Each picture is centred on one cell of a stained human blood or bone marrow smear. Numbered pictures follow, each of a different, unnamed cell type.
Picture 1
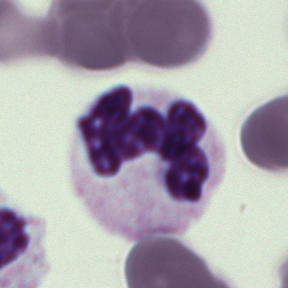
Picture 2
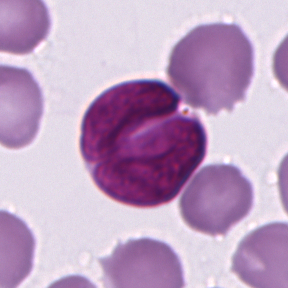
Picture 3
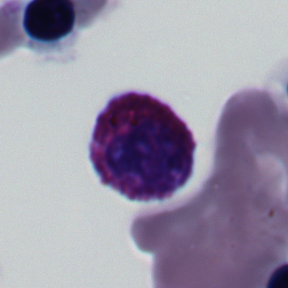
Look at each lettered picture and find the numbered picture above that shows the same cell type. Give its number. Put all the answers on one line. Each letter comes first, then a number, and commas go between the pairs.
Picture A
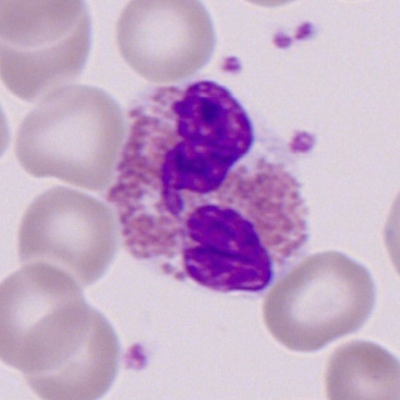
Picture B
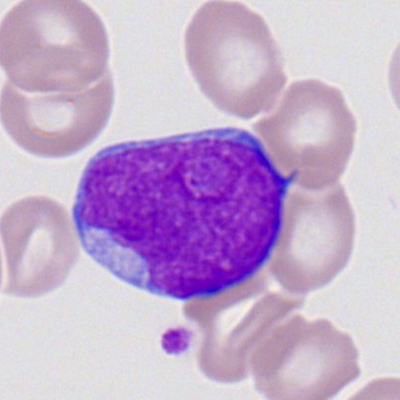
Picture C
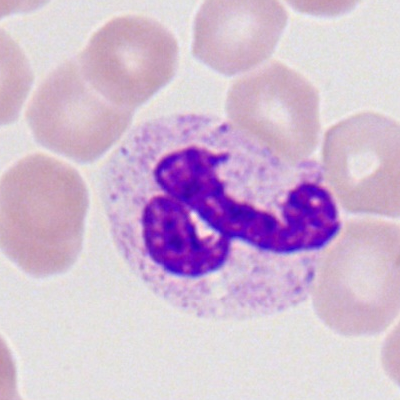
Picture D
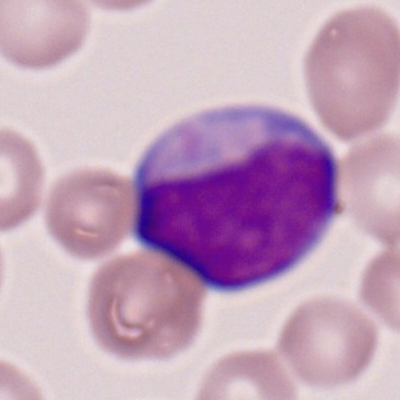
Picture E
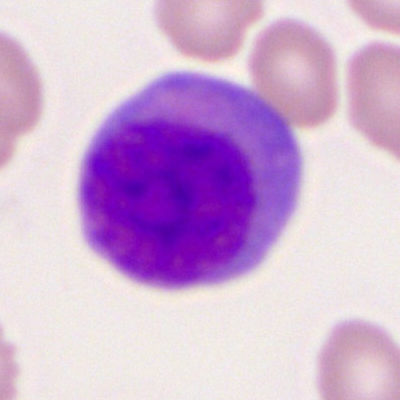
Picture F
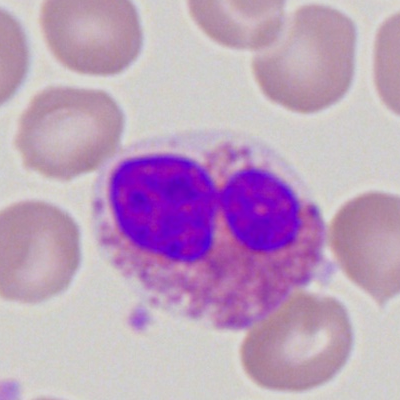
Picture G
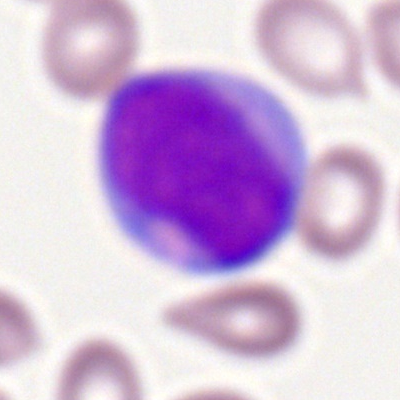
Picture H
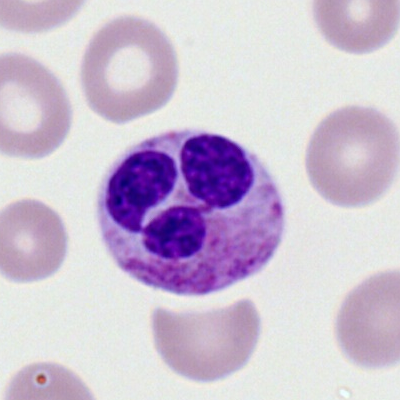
A 3, B 2, C 1, D 2, E 2, F 3, G 2, H 3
